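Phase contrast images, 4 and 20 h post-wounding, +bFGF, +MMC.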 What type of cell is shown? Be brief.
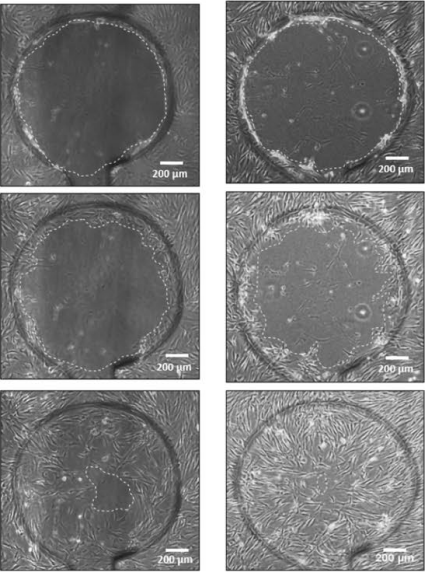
Fibroblast.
